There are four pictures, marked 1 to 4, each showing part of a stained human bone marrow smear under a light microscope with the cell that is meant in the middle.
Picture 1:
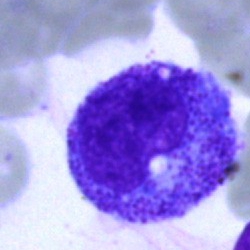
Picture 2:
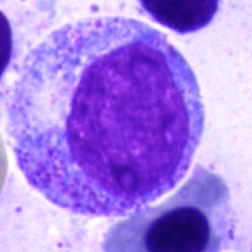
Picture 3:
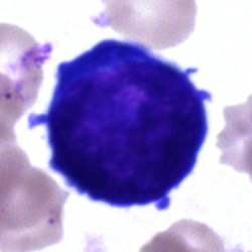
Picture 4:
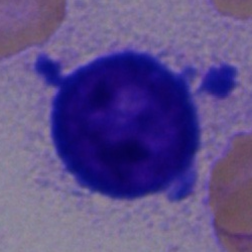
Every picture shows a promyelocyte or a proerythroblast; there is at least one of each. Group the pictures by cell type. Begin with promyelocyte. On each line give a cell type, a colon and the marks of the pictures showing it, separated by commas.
promyelocyte: 1, 2
proerythroblast: 3, 4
